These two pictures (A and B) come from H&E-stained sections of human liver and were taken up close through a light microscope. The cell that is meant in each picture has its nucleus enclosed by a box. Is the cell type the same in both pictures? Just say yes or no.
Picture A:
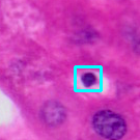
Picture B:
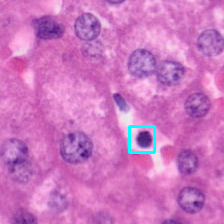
yes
